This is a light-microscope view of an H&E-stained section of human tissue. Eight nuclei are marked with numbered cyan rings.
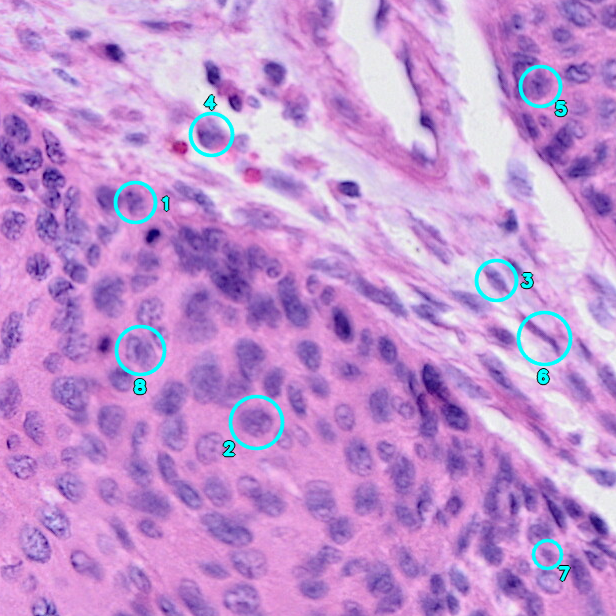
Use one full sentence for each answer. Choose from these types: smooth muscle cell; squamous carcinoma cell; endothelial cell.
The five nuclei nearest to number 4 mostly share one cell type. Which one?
Most of the five nuclei nearest to number 4 are those of endothelial cells.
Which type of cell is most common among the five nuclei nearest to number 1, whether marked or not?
Most of the five nuclei nearest to number 1 are those of squamous carcinoma cells.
